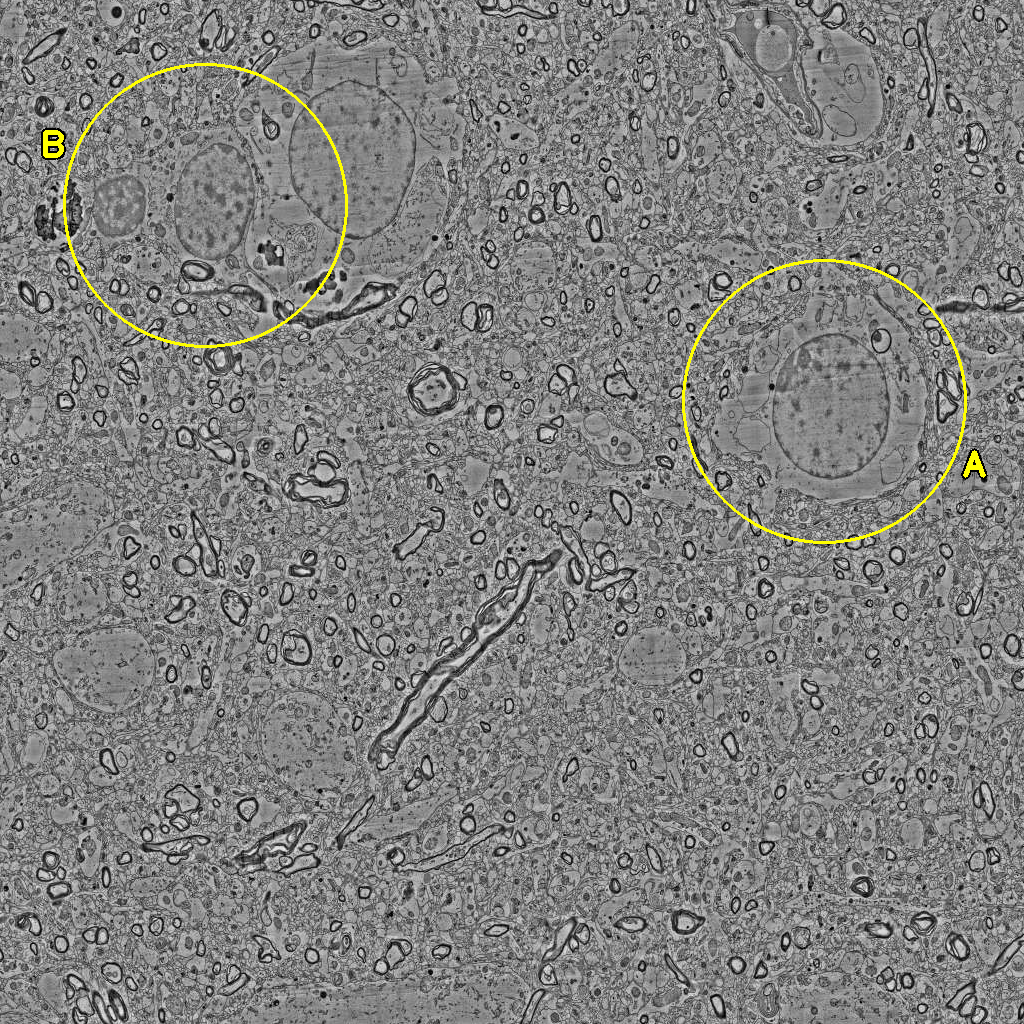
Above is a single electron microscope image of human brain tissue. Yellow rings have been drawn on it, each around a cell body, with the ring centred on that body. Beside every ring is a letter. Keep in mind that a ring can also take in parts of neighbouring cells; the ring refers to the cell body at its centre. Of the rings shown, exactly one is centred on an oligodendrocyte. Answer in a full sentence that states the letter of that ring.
The cell at the centre of ring B is the one asked for.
